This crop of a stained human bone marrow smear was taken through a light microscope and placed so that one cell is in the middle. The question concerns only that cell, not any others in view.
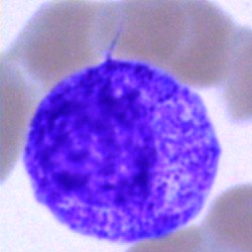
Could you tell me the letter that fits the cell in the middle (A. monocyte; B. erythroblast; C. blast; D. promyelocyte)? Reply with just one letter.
D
